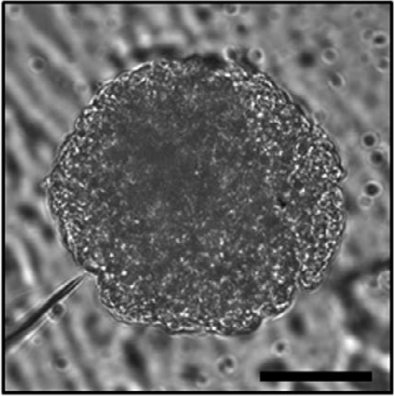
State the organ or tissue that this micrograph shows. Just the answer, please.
Glomerulus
